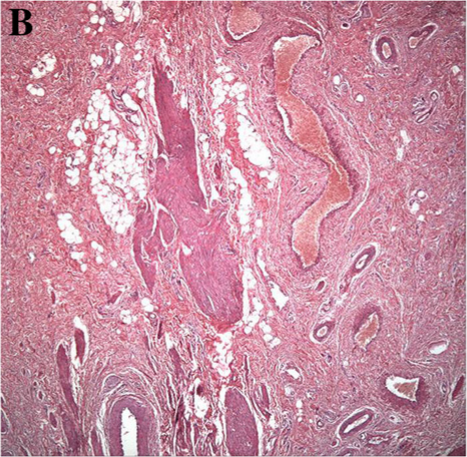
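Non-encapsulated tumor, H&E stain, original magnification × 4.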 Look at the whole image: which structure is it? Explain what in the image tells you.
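Many round and elongated channels with walls scattered through the field. Some channels are filled with red-orange material. That points to this answer: blood vessels.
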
